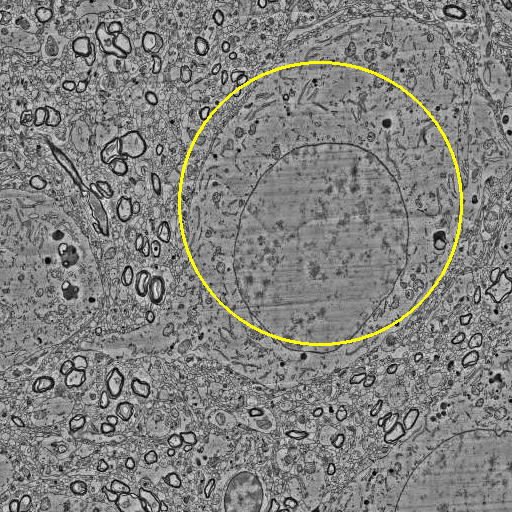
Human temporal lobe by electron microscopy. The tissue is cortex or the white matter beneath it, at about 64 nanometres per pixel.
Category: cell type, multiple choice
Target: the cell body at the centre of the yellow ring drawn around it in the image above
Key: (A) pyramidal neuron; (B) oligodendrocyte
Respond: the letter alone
A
